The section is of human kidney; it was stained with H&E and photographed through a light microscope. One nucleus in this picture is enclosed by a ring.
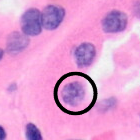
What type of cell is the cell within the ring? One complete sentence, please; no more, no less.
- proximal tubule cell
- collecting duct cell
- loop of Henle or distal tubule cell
What the cell within the ring represents is a loop of Henle or distal tubule cell.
